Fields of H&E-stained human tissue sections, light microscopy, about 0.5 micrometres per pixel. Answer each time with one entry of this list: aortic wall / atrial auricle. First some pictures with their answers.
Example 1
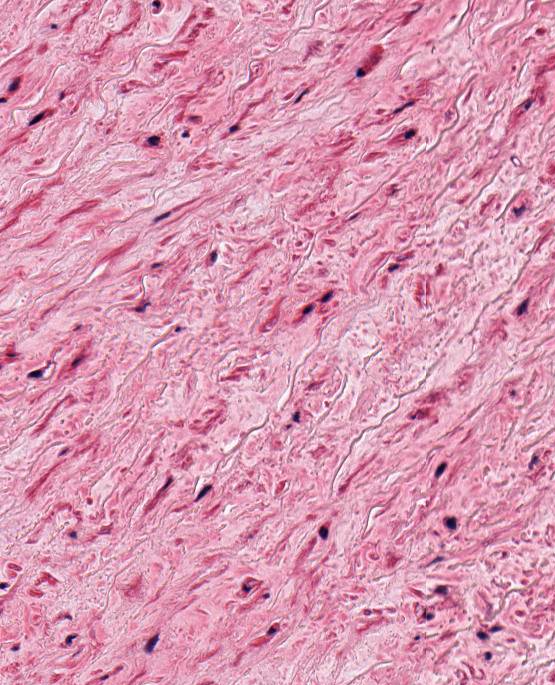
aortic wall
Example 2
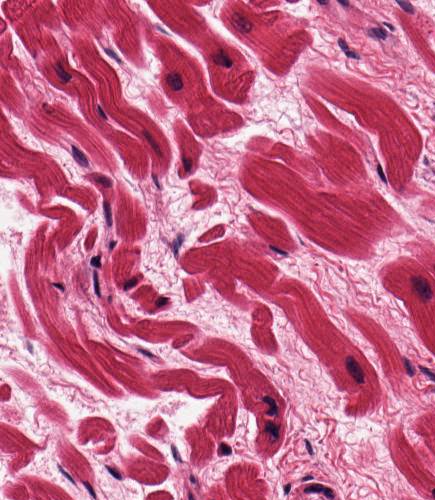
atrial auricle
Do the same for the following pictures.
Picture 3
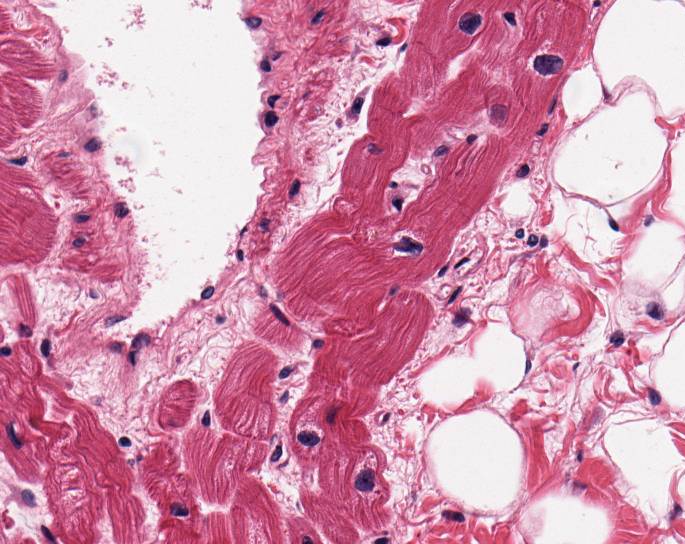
atrial auricle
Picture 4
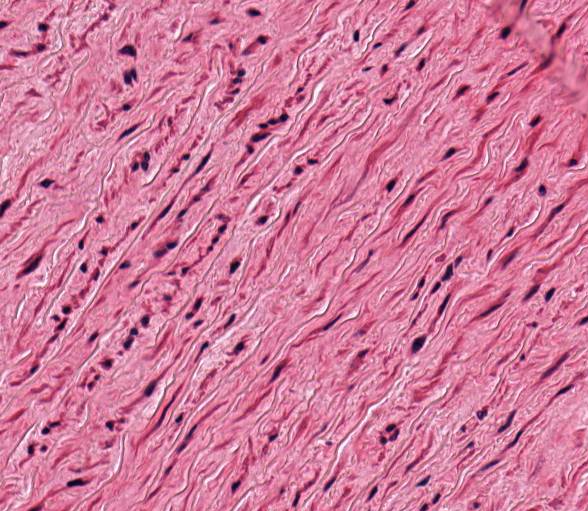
aortic wall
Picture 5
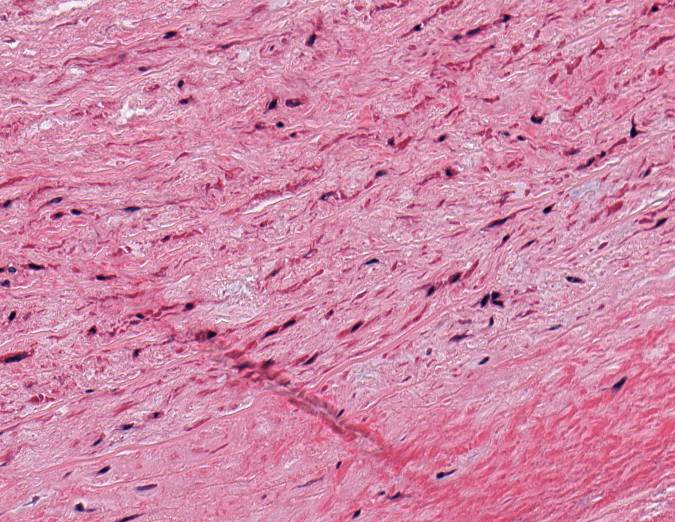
aortic wall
